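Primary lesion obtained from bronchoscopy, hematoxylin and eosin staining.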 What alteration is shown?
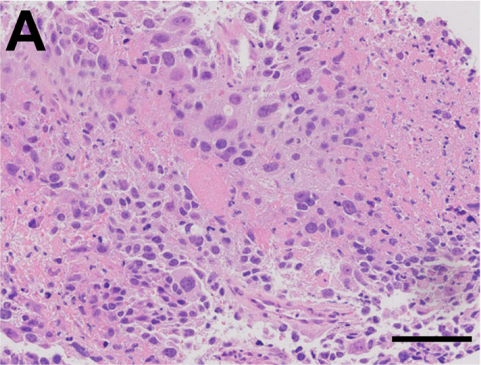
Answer: Enlarged hyperchromatic nuclei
